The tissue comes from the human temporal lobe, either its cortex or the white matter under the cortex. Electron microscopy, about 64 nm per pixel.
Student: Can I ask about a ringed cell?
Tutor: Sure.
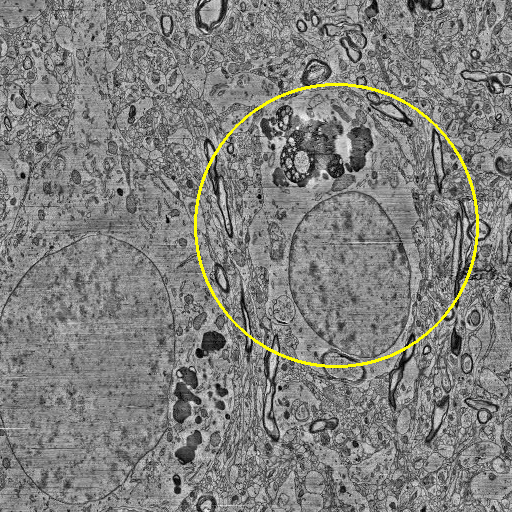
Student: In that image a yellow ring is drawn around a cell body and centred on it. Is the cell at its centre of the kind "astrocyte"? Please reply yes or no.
Yes, the cell is of that kind.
